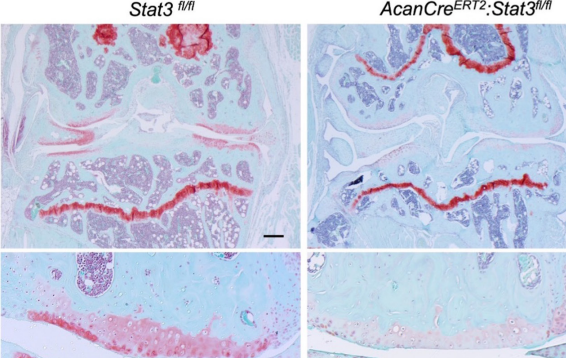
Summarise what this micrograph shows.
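These are sections through mouse knee joints, where two bone ends covered by articular cartilage face each other across a narrow joint space. The cartilage caps and the growth plate stain red-pink, while the bone and marrow beneath take a grey and blue-green colour. At higher magnification the cartilage shows rounded chondrocytes lying in lacunae within the stained matrix.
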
